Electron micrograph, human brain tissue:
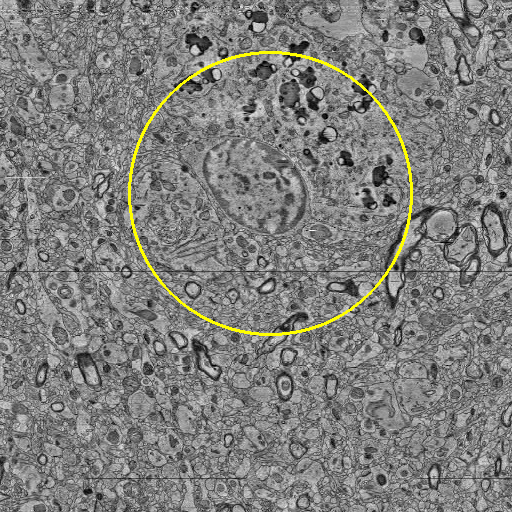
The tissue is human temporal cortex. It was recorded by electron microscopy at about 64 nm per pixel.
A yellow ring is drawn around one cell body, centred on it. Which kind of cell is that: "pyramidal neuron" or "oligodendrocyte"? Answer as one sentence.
It is an oligodendrocyte at the centre of the ring.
